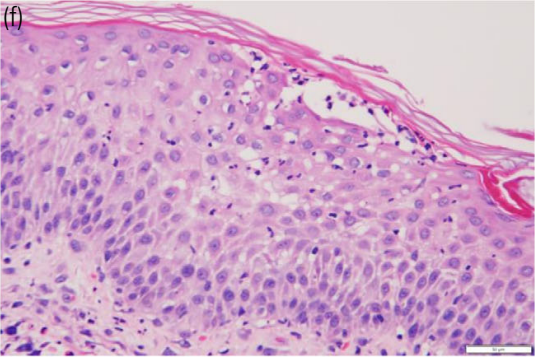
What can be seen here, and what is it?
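This is epidermis of skin at high power, showing a small pustule just beneath the cornified layer. The surface carries a thin, pink, layered cornified layer. Beneath it lies a small cleft filled with clustered inflammatory cells that have small, dark, lobed nuclei, and similar cells are scattered among the keratinocytes of the upper epidermis. The keratinocytes are polygonal, with pale pink cytoplasm and round to oval nuclei with visible nucleoli; some spaces between them look widened. The basal layer at the bottom has more crowded, darker nuclei.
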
